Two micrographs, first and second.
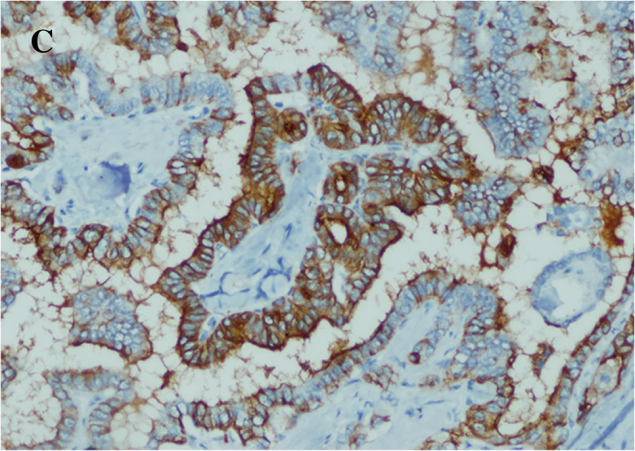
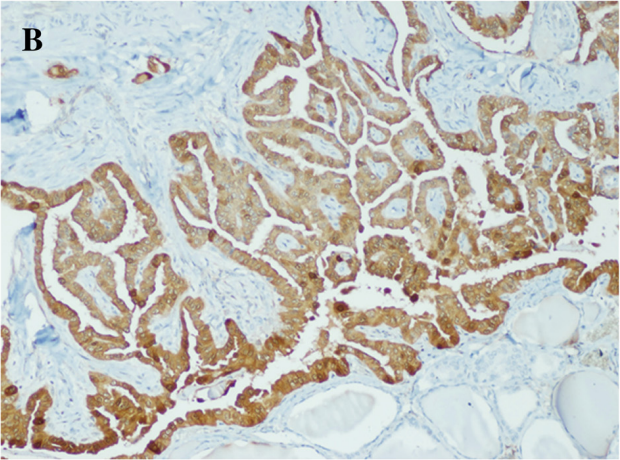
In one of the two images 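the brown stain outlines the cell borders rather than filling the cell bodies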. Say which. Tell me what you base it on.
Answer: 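Second image: brown stain fills the cells' cytoplasm throughout. The answer: the first image.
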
